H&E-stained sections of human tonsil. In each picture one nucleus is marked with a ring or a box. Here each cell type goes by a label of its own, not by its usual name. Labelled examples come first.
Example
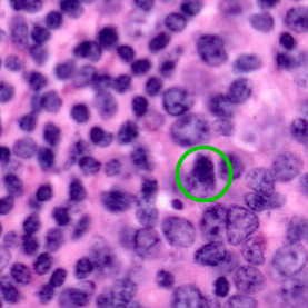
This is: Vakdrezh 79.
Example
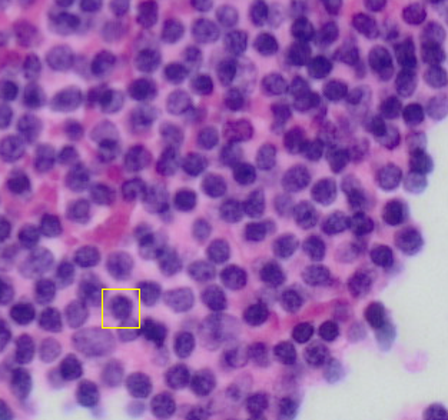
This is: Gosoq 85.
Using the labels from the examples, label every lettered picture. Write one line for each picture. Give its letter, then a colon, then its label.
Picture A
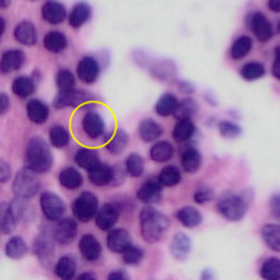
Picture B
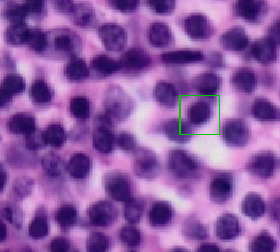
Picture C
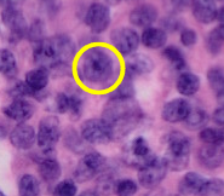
A: Gosoq 85.
B: Gosoq 85.
C: Vakdrezh 79.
